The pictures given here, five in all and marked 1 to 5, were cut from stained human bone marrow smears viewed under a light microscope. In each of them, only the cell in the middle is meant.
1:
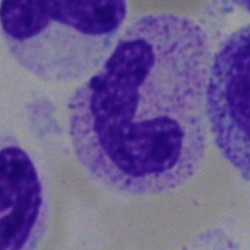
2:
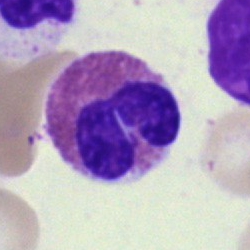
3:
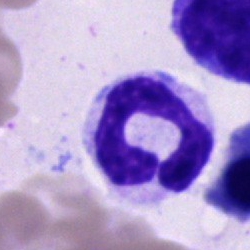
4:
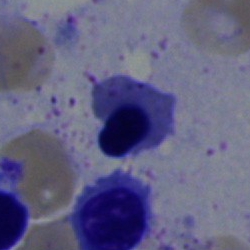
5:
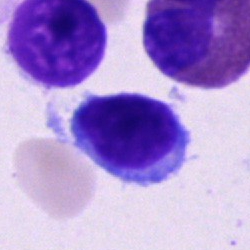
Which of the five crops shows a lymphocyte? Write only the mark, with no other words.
5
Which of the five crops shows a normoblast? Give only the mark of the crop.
4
